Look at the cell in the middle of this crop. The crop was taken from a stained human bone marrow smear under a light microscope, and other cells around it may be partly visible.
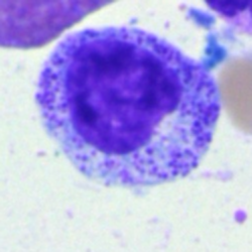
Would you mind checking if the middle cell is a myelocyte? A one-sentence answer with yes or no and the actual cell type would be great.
Yes, the cell at the crop's center is a myelocyte.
